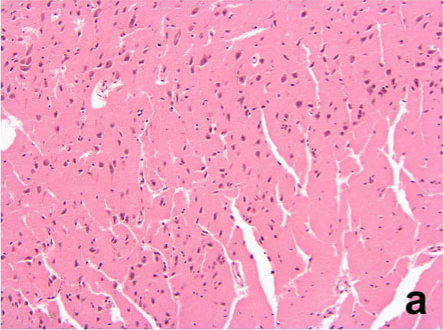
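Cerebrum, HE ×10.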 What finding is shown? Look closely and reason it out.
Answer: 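Many empty clear clefts run through the tissue. Clear spaces surround cells and vessels. The answer: tissue artefact.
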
